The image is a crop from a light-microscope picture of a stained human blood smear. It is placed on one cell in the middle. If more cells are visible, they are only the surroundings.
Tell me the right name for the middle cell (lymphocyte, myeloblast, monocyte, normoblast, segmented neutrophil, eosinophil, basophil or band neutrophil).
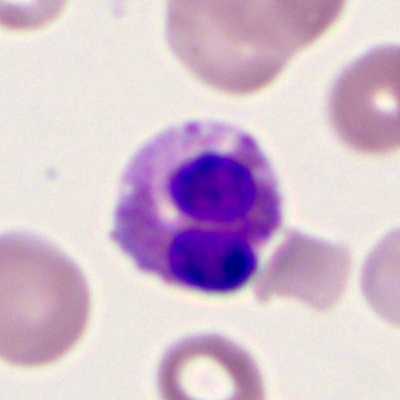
eosinophil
